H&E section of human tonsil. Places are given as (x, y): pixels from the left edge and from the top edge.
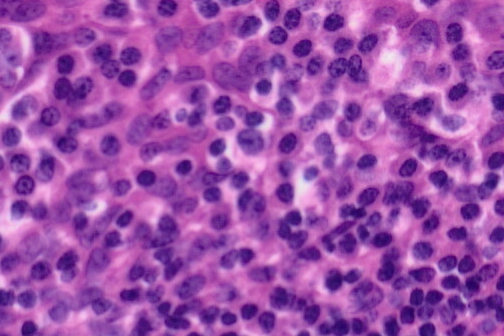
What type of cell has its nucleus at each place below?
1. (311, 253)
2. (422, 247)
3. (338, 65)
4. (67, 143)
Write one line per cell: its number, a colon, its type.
1: squamous epithelial cell
2: plasma cell
3: plasma cell
4: plasma cell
